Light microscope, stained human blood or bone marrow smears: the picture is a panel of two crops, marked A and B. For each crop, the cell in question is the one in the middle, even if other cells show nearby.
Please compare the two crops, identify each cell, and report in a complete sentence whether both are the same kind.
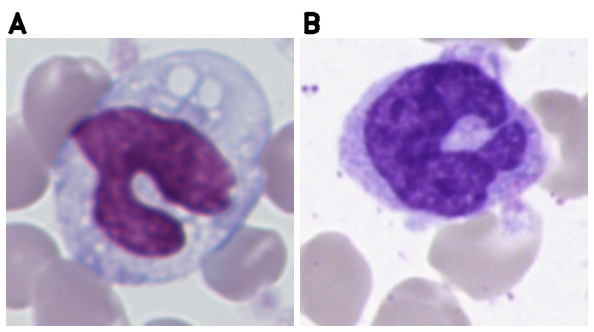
Yes, what both crops show at their centres are monocytes.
